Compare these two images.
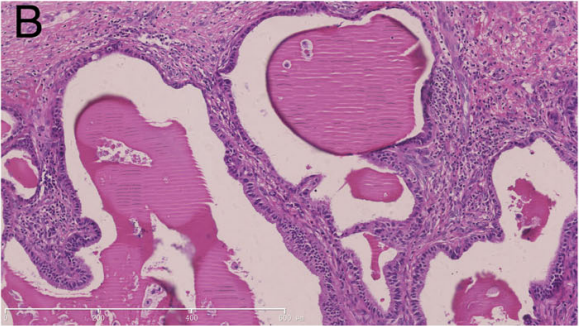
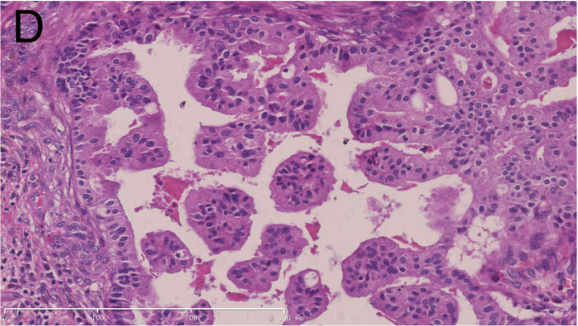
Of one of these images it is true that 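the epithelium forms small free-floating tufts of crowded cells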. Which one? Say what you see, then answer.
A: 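Second image: rounded clusters of crowded epithelial cells project and float into the lumen. So: the second image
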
